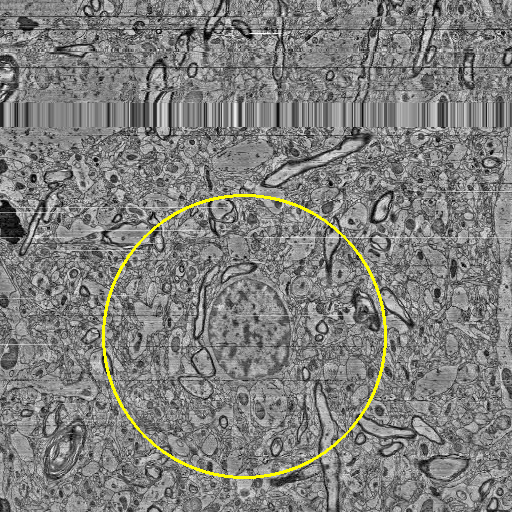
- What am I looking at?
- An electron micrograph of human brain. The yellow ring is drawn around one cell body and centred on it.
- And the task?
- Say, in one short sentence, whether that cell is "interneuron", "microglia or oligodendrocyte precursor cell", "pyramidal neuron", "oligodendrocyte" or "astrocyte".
The cell in the middle of the ring is an oligodendrocyte.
